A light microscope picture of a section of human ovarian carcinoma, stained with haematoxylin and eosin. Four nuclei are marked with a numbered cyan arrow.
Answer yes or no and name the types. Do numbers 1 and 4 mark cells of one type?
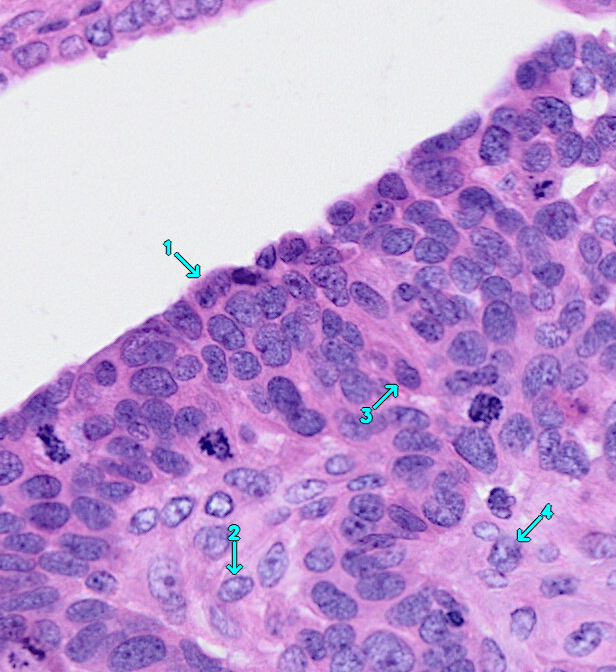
No, that is not right: cell 1 is a carcinoma cell and cell 4 is a fibroblast.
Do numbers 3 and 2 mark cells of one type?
No, cell 3 is classed as a carcinoma cell and cell 2 as a fibroblast.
